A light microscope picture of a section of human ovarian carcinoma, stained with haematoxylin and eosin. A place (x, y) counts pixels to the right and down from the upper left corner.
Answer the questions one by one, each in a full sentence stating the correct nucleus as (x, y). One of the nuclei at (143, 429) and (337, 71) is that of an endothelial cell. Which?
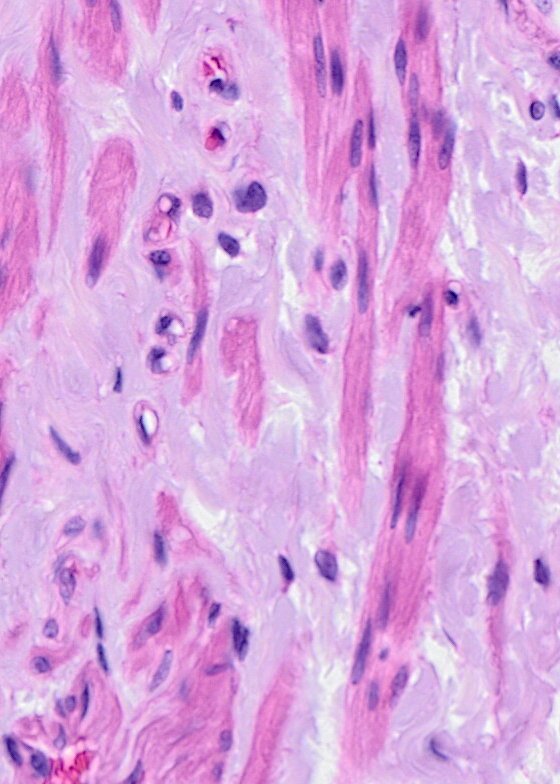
The nucleus of an endothelial cell is the one at (143, 429).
